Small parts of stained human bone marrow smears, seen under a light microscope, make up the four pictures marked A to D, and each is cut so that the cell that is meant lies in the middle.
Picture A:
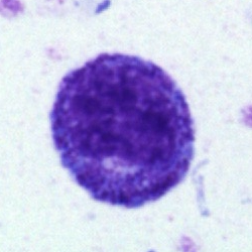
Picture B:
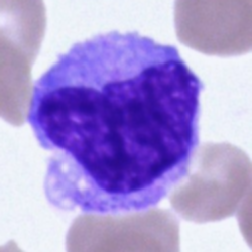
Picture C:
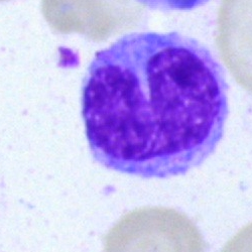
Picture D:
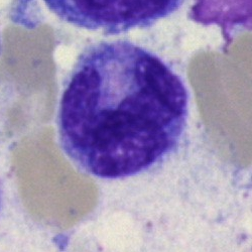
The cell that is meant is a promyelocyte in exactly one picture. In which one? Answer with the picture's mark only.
A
